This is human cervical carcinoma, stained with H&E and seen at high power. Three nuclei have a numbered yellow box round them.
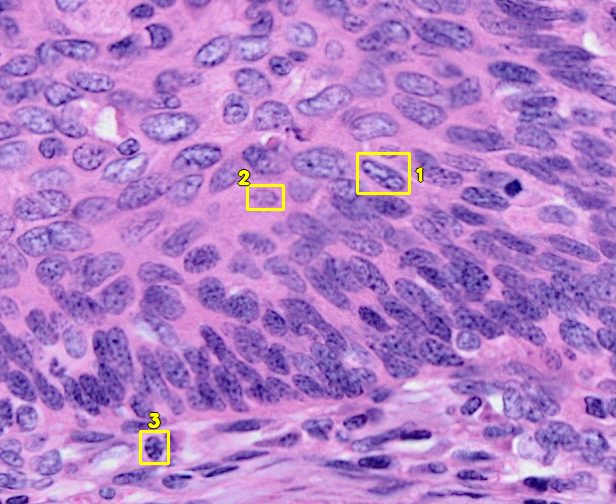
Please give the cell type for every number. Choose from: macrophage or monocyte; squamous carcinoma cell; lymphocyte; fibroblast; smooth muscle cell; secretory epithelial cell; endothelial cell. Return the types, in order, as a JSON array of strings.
["squamous carcinoma cell", "squamous carcinoma cell", "lymphocyte"]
